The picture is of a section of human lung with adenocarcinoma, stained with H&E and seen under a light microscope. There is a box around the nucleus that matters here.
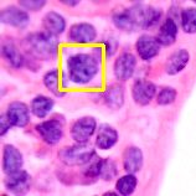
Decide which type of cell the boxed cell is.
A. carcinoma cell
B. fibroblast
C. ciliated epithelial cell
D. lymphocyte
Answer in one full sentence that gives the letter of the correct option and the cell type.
Here the correct option is D, since the boxed cell is a lymphocyte.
